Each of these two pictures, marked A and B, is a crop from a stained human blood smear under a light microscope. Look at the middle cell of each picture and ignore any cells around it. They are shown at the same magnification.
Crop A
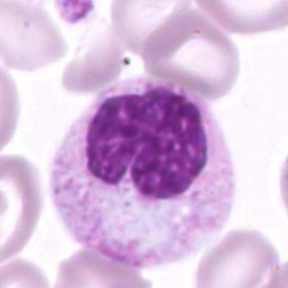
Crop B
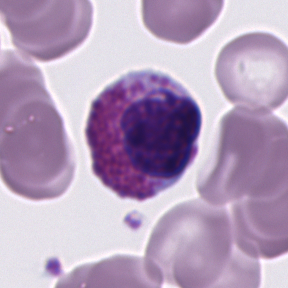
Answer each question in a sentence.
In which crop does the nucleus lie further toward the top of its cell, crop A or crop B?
It is the nucleus in crop A that lies further toward the top of its cell.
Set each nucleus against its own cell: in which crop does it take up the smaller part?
In crop A the nucleus takes up the smaller part of its cell.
